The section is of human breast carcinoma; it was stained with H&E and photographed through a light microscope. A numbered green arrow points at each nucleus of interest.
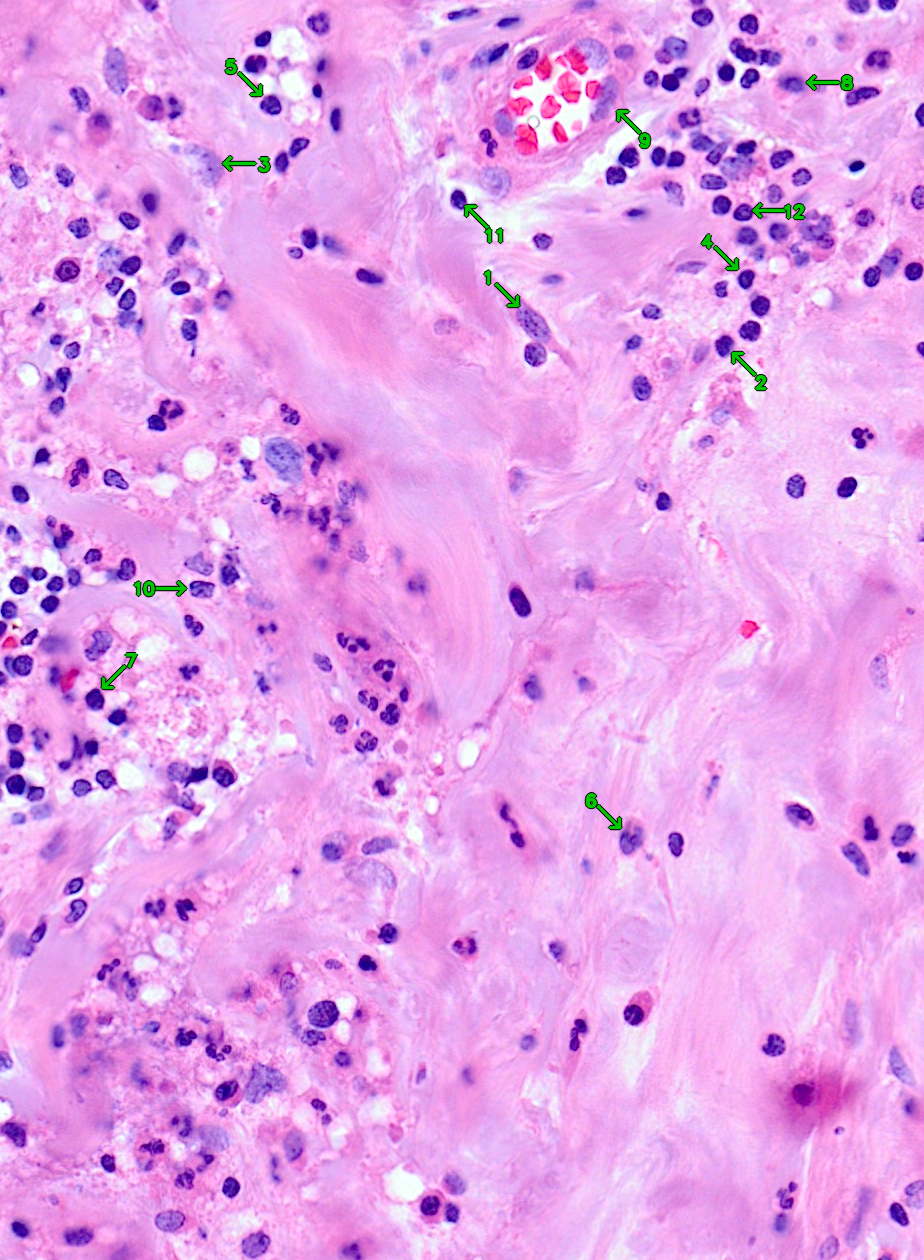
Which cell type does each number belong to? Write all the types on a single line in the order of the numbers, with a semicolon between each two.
fibroblast; lymphocyte; fibroblast; lymphocyte; lymphocyte; macrophage, monocyte or dendritic cell; lymphocyte; mast cell; endothelial cell; lymphocyte; lymphocyte; lymphocyte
